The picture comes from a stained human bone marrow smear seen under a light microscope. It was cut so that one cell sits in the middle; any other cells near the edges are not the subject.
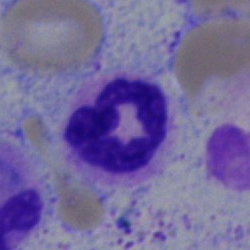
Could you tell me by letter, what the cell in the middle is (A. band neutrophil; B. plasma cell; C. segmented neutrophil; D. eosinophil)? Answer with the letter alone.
C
